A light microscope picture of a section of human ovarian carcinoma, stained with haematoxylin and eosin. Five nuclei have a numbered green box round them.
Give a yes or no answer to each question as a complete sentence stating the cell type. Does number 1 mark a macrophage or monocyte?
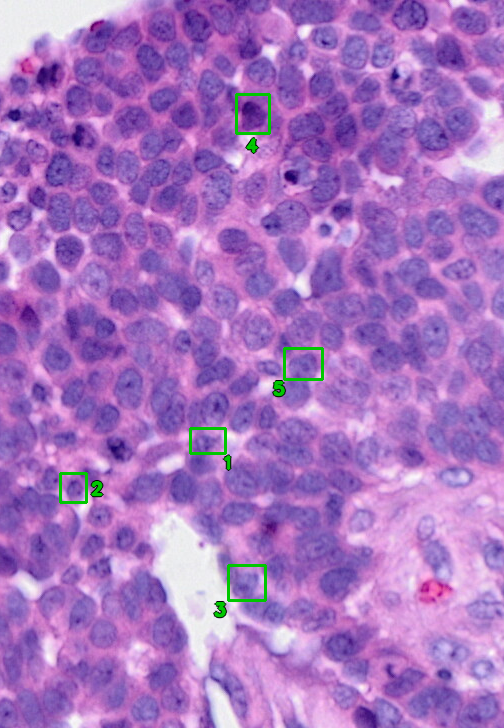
Yes, that one, number 1, is a macrophage or monocyte.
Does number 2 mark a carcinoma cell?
No, cell 2 represents a macrophage or monocyte rather than a carcinoma cell.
